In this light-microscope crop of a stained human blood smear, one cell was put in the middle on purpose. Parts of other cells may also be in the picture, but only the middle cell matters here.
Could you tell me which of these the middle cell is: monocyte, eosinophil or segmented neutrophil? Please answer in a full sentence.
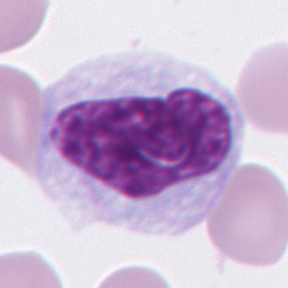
The centrally positioned cell in the crop represents a monocyte.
